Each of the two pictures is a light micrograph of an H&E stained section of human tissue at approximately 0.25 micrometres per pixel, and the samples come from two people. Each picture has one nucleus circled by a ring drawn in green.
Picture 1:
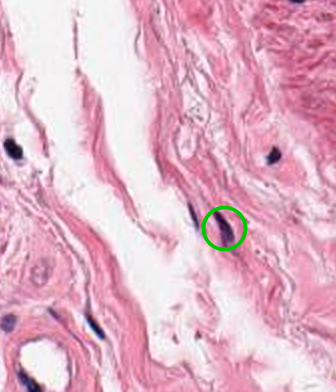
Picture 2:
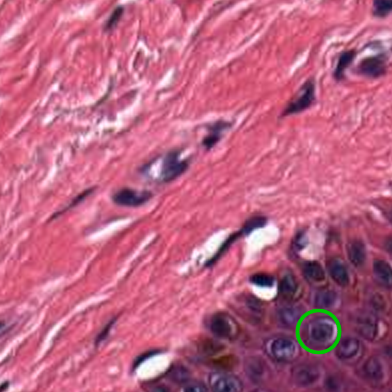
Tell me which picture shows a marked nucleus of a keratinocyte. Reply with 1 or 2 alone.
2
